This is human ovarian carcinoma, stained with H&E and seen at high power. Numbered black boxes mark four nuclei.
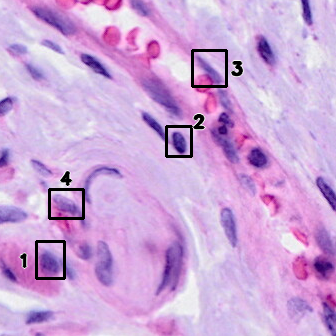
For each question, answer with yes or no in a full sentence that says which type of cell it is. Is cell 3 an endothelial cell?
Yes, looking at number 3, that cell is an endothelial cell.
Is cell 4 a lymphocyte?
No, the cell labelled number 4 is not a lymphocyte; it is an endothelial cell.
